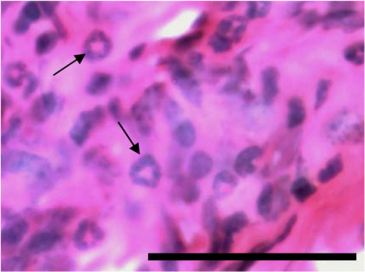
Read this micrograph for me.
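At high magnification, tightly packed cells with dark purple nuclei sit in pink, eosinophilic surroundings. The nuclei vary in size and shape, from oval to irregular and elongated, and some are crowded against each other. A few nuclei appear ring-like, with a dark rim and a paler centre, standing out from their neighbours as abnormal nuclei.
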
